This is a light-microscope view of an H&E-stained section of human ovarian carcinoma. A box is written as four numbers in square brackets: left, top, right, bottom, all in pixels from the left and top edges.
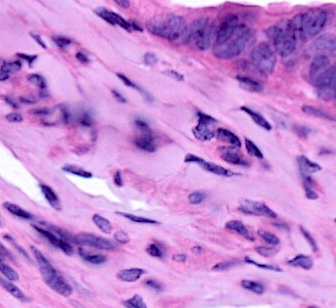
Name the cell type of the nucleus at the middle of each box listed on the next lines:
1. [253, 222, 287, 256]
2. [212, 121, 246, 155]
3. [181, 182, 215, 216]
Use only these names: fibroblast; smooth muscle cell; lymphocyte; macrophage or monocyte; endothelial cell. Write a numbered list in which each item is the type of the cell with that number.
1. smooth muscle cell
2. endothelial cell
3. smooth muscle cell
